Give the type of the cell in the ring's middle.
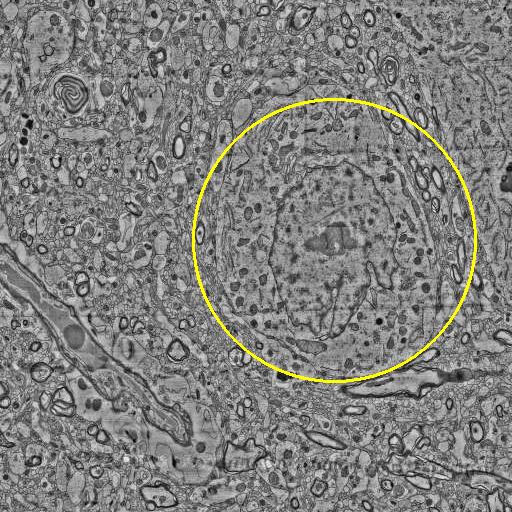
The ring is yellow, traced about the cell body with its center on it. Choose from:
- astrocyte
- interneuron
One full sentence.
Here, an interneuron is the cell lying at the center of the yellow ring.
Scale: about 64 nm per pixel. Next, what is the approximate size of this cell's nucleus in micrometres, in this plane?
The nucleus is approximately 11 micrometers long by 8 micrometers wide in this plane.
